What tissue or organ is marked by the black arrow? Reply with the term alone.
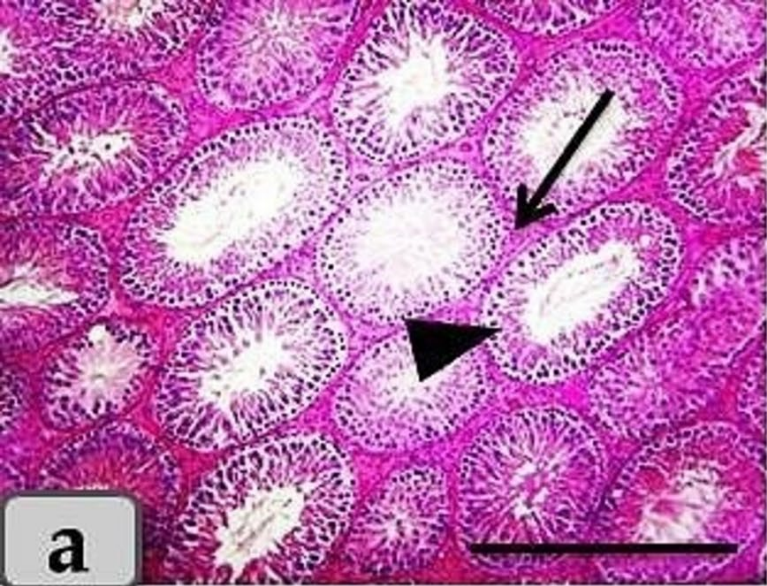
Interstitial connective tissue.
